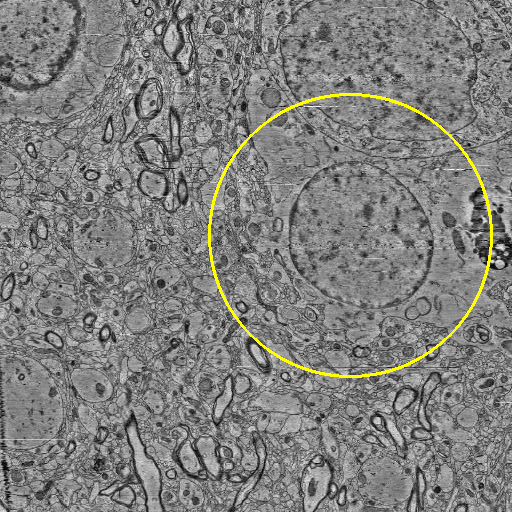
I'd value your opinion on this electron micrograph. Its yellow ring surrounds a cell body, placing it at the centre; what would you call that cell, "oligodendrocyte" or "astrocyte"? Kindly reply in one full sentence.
It is an astrocyte that sits centred within the yellow ring in this micrograph.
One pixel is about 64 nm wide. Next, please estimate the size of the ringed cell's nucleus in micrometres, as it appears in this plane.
In this plane the nucleus is about 10 micrometres across.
